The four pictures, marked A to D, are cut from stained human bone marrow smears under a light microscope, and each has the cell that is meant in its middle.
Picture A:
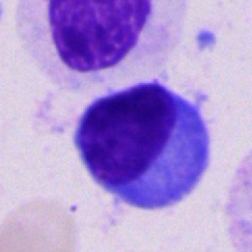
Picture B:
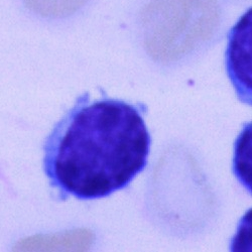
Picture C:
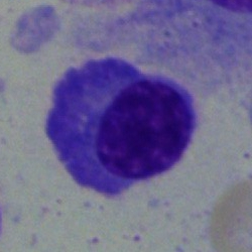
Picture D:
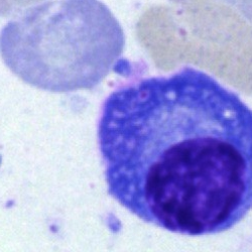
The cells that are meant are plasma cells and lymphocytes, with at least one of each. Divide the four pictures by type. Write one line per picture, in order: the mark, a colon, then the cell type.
A: plasma cell
B: lymphocyte
C: plasma cell
D: plasma cell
